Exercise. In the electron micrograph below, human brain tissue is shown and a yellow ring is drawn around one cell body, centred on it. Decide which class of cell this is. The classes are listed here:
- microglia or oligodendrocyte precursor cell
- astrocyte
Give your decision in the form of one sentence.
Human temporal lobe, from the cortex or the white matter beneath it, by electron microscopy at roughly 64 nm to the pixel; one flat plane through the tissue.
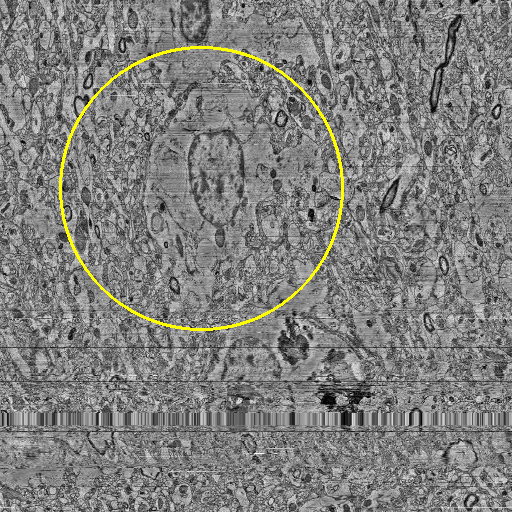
The cell body marked by the ring belongs to an astrocyte.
